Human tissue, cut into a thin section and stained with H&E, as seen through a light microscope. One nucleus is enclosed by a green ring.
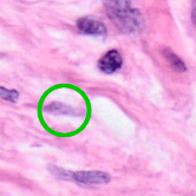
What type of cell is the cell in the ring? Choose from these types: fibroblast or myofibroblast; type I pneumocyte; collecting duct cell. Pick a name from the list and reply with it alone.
fibroblast or myofibroblast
